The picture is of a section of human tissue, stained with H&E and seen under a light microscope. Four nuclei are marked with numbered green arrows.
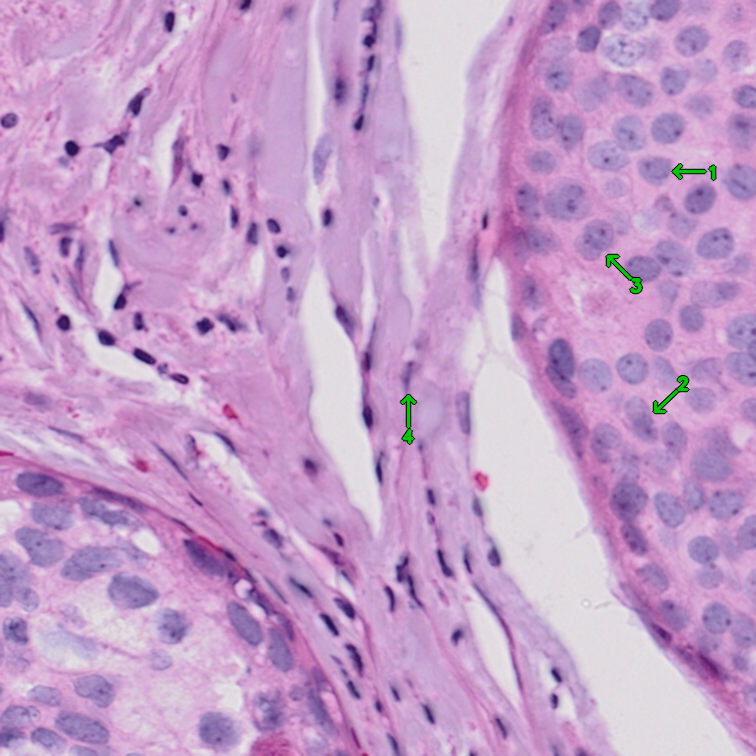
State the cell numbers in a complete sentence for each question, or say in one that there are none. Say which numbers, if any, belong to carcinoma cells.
Here, the cells that carry numbers 1, 2 and 3 are carcinoma cells.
